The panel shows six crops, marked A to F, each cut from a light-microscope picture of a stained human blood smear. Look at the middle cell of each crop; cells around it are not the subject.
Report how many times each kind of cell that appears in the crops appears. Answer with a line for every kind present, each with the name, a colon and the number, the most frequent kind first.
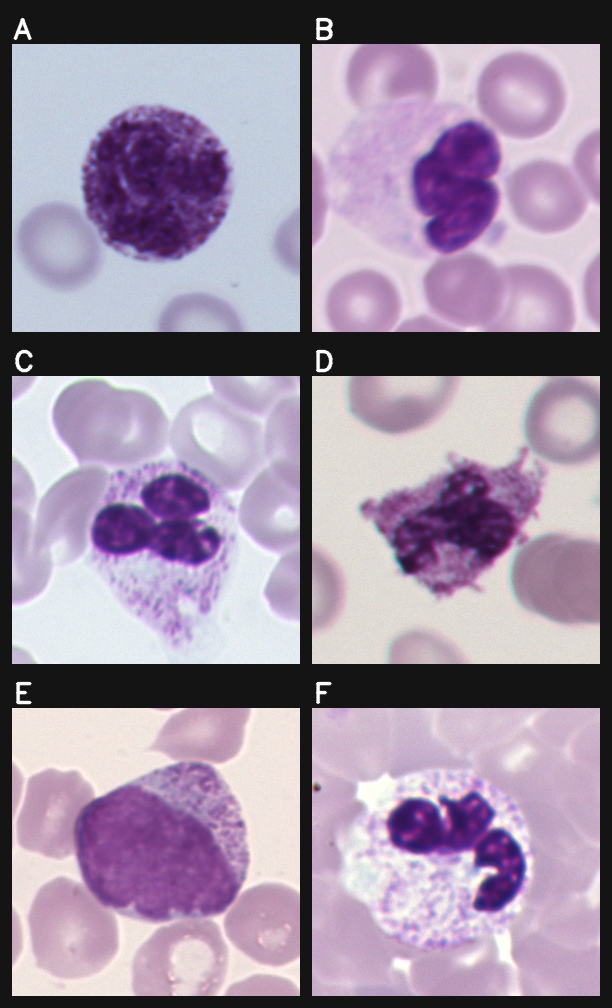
segmented neutrophil: 3
basophil: 2
promyelocyte: 1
